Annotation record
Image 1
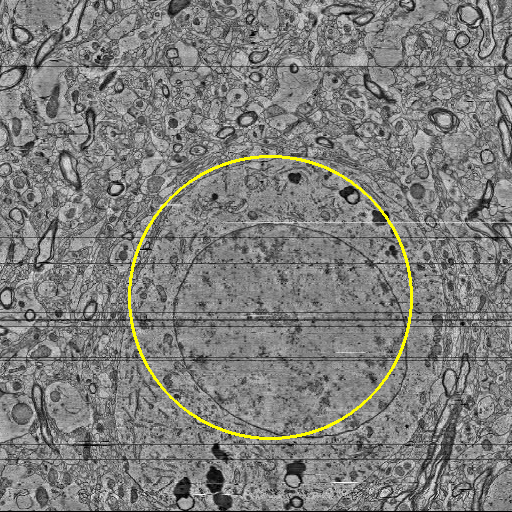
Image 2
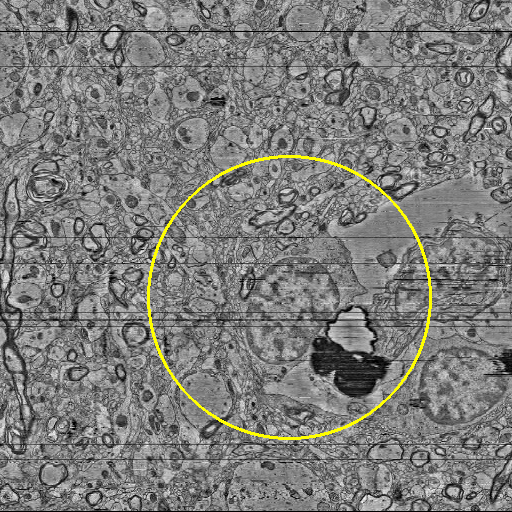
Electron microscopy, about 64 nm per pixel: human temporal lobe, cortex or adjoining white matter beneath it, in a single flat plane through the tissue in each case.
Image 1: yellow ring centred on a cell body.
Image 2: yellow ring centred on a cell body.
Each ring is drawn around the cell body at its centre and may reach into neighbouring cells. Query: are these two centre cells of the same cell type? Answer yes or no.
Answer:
no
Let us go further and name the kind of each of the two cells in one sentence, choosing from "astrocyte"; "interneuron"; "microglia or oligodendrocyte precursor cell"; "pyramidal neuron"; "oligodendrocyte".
The ring of the first picture is on a pyramidal neuron, the ring of the second on an oligodendrocyte.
